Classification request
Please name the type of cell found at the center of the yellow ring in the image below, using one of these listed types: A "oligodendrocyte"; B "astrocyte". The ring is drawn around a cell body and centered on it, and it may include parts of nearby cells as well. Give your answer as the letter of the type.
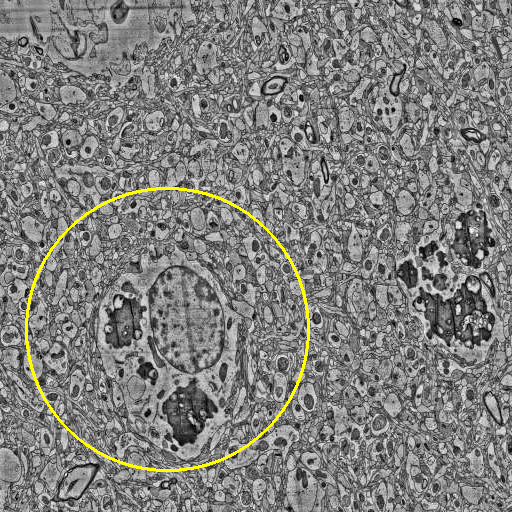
B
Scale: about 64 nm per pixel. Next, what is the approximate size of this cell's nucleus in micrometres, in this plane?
The nucleus appears roughly 7 by 5 micrometres in this plane.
